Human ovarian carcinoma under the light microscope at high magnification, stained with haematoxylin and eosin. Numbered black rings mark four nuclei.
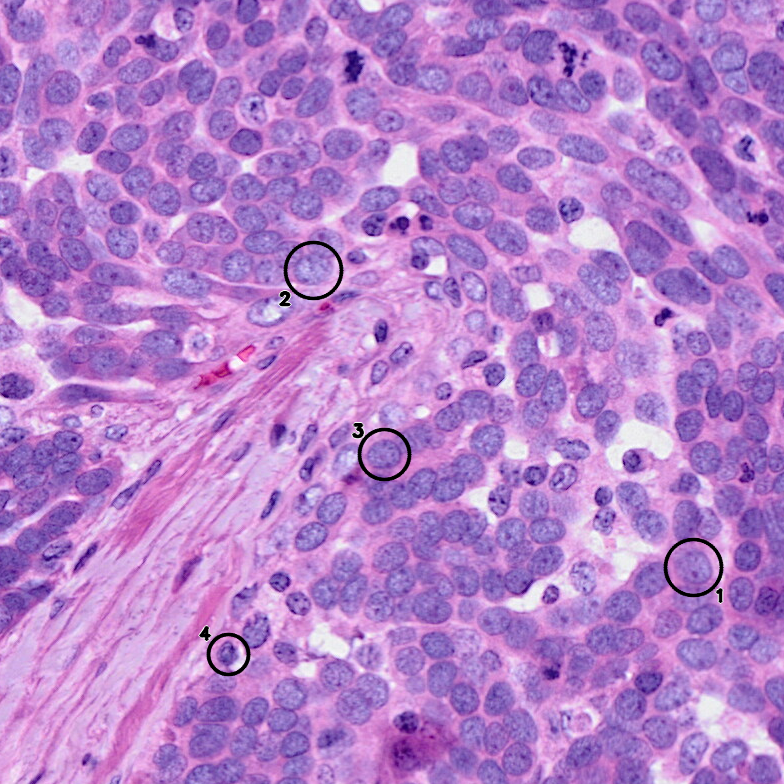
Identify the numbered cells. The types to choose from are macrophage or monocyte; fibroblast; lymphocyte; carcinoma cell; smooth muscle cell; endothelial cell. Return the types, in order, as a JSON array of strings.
["carcinoma cell", "carcinoma cell", "carcinoma cell", "macrophage or monocyte"]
